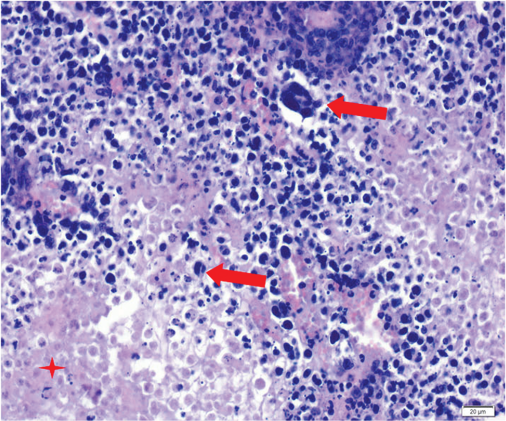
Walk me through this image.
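Some cells carry large, markedly hyperchromatic nuclei that stand out from the smaller nuclei around them. Between the nuclei lie areas of pale pink, eosinophilic cytoplasm and material, with a few clear spaces. The cells show no orderly arrangement.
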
